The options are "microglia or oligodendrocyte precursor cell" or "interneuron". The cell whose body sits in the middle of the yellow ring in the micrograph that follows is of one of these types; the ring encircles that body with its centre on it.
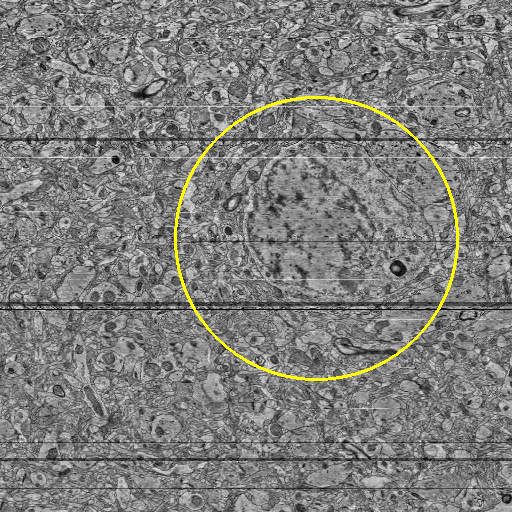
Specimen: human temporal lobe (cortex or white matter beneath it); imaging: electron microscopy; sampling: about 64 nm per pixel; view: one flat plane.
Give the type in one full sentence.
Going by the micrograph, the cell centred in the yellow ring is an interneuron.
